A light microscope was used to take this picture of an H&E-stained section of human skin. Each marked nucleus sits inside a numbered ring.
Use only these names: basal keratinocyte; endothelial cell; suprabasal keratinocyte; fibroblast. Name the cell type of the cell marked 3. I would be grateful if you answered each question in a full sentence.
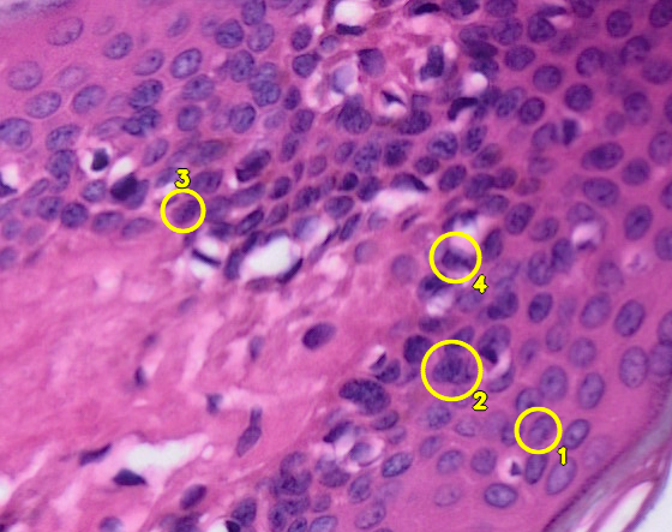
Numbered cell 3 is a basal keratinocyte in this tissue section.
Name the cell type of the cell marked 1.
Cell 1, as marked in the section, is a suprabasal keratinocyte.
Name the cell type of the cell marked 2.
Cell 2 in the field is a basal keratinocyte.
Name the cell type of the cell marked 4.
The marked cell bearing number 4 is a basal keratinocyte.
